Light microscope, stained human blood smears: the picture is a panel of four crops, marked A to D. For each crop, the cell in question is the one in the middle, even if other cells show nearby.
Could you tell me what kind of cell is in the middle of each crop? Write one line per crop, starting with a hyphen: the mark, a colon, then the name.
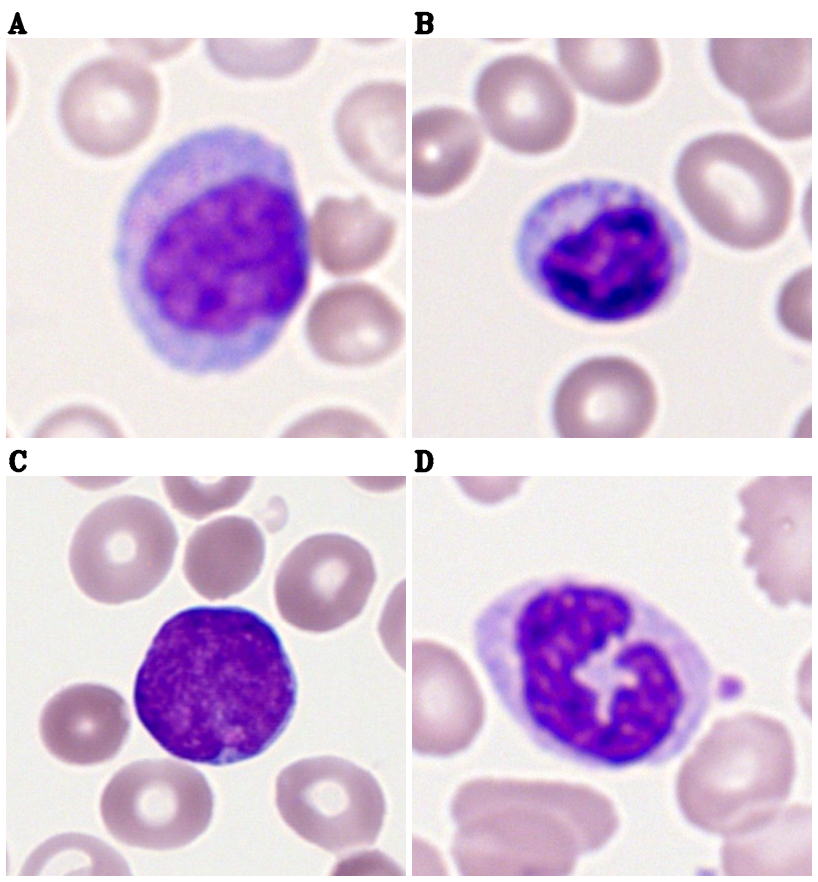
- A: monocyte
- B: lymphocyte
- C: myeloblast
- D: monocyte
